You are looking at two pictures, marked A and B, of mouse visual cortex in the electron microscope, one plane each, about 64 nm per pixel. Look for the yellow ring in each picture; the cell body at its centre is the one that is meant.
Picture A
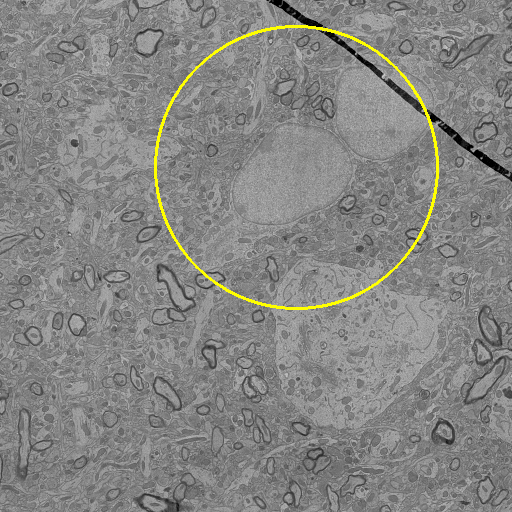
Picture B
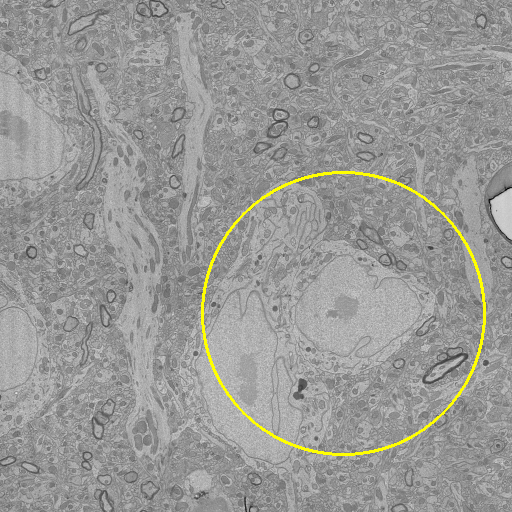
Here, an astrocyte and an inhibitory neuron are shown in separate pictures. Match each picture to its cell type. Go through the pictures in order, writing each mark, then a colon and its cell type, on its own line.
A: astrocyte
B: inhibitory neuron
